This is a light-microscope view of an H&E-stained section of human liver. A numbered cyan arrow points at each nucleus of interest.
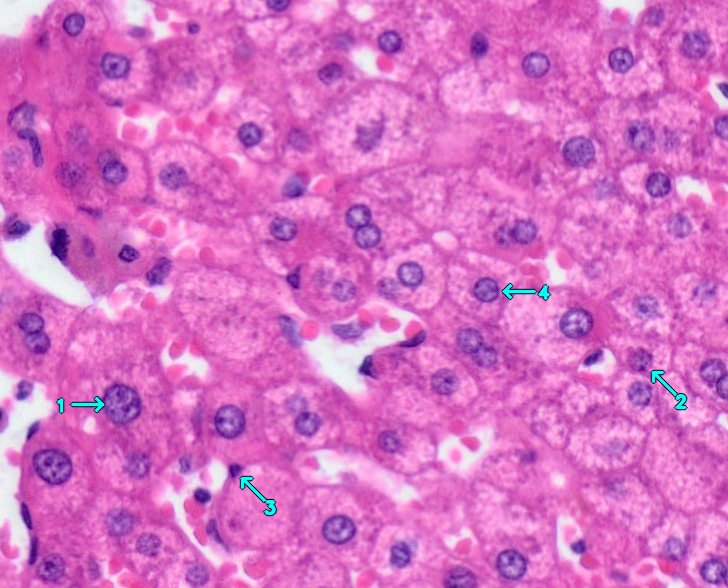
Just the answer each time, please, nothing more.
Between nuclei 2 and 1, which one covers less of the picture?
2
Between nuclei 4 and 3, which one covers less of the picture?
3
